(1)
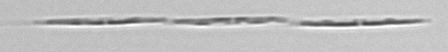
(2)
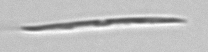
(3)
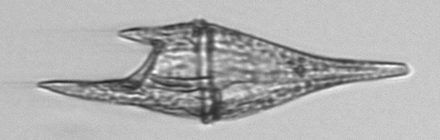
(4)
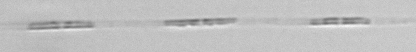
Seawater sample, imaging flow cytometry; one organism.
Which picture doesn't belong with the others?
Picture 3.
